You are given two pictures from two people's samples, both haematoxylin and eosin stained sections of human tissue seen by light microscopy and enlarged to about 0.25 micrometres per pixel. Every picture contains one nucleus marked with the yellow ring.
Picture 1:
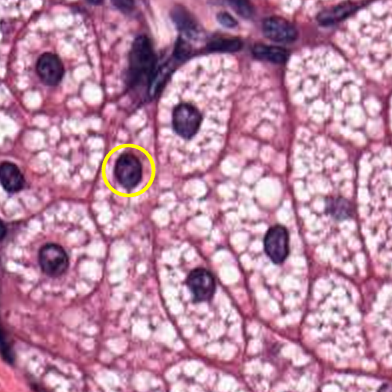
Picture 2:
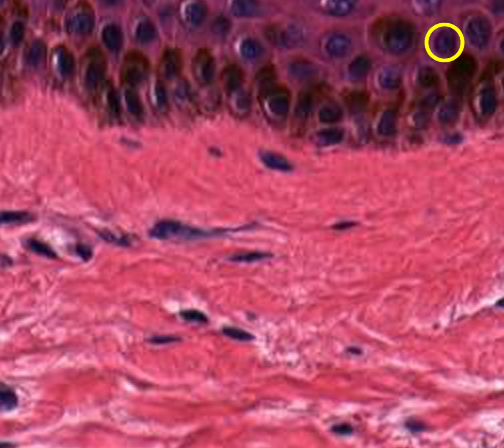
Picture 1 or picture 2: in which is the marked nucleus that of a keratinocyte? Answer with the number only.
2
